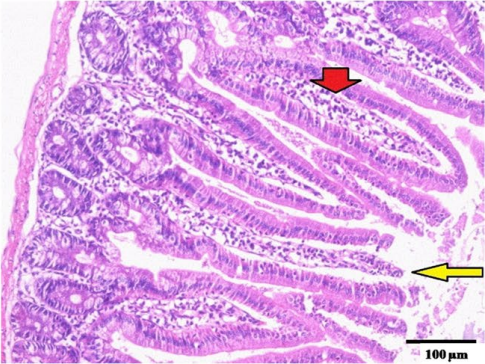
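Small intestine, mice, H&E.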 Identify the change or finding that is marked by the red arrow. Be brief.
mild inflammation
